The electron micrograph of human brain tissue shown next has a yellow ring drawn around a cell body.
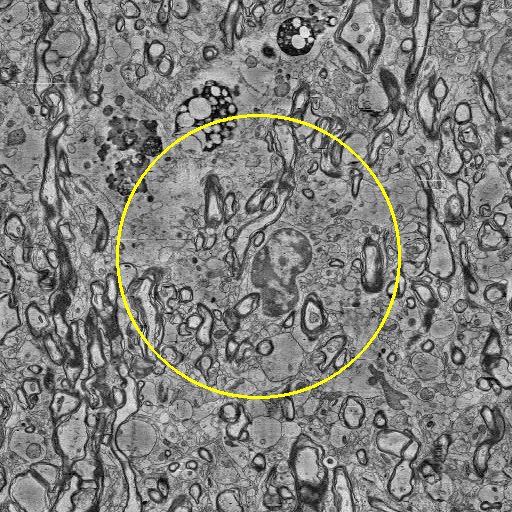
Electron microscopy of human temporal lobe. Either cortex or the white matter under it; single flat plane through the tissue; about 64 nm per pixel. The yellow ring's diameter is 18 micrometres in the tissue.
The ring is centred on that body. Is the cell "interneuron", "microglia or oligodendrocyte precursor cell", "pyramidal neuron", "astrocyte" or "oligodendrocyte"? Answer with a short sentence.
The cell in question is a microglial cell or oligodendrocyte precursor cell.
